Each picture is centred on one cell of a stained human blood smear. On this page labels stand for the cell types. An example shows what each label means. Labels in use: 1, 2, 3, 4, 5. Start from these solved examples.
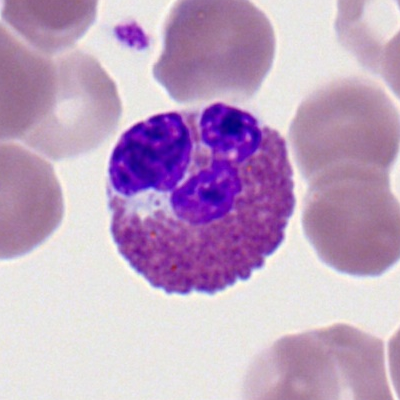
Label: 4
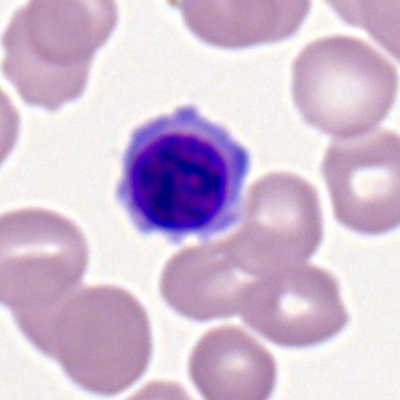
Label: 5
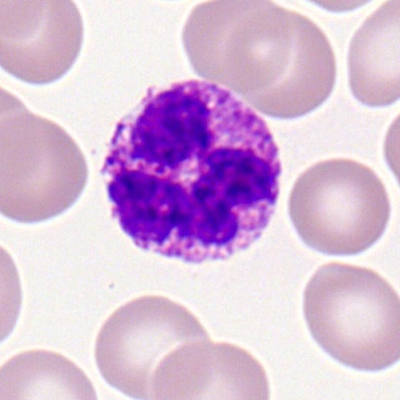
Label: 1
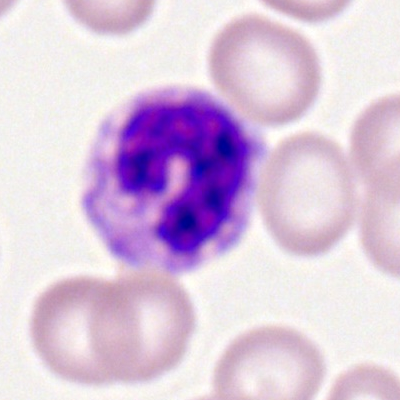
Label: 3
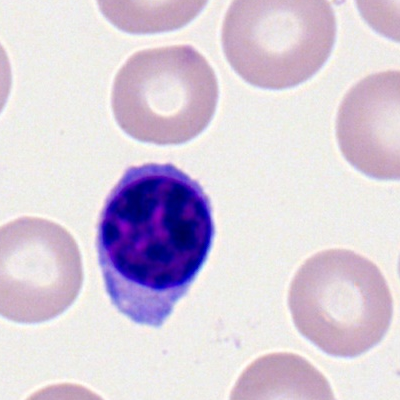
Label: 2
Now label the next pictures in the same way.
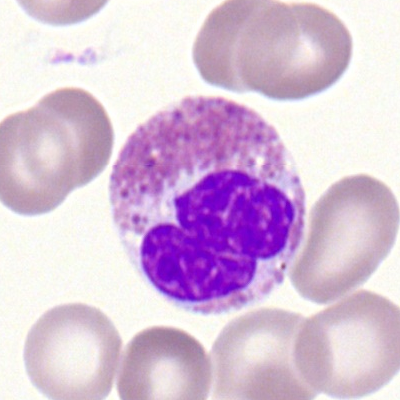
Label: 4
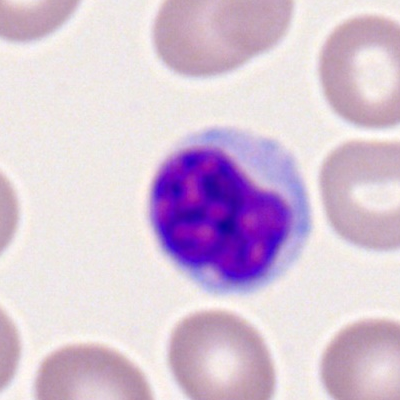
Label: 2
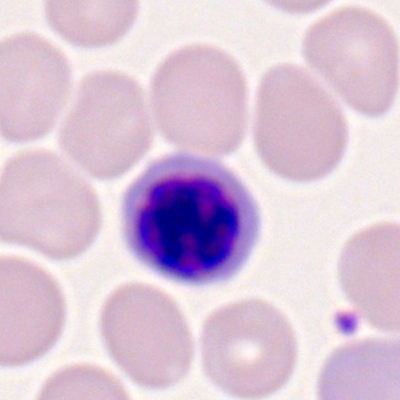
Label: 5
